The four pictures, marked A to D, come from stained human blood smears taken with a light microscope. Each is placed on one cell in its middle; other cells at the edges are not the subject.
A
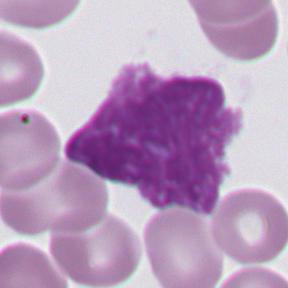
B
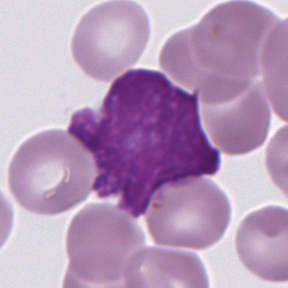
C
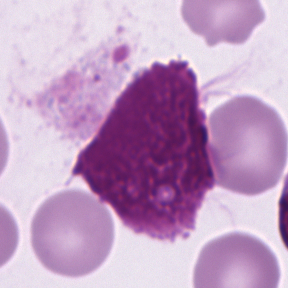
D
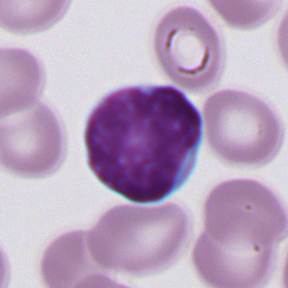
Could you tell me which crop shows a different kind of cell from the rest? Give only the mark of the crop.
D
